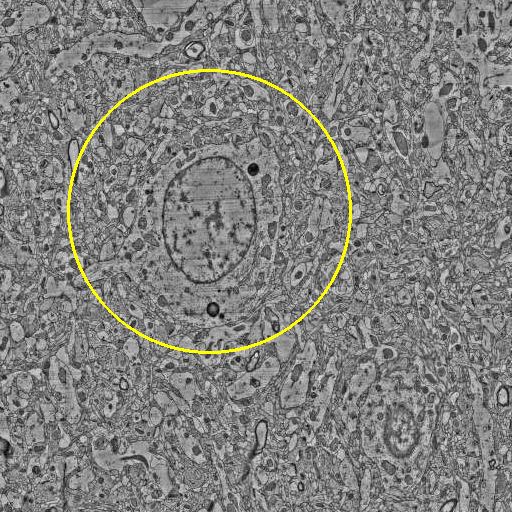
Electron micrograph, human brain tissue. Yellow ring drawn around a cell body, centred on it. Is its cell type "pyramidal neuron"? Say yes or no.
yes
